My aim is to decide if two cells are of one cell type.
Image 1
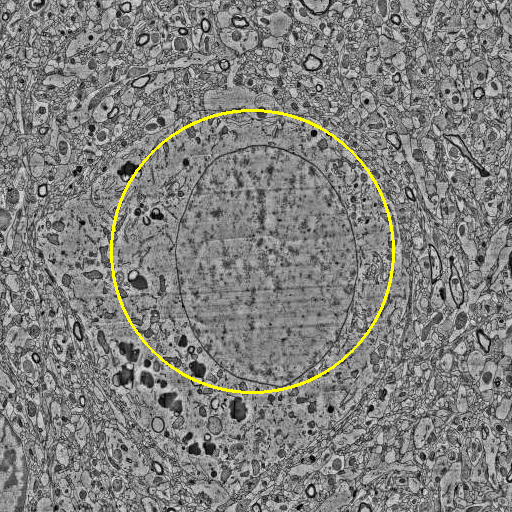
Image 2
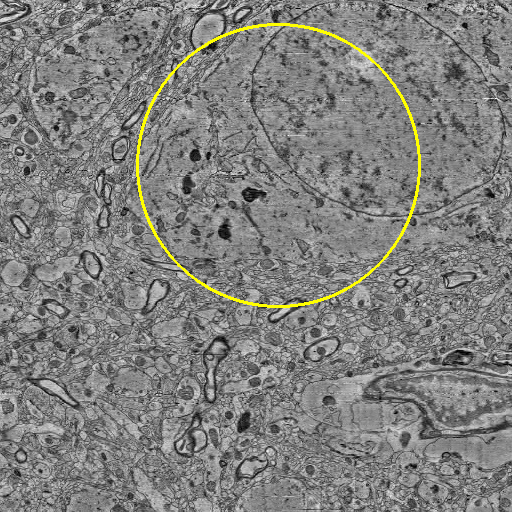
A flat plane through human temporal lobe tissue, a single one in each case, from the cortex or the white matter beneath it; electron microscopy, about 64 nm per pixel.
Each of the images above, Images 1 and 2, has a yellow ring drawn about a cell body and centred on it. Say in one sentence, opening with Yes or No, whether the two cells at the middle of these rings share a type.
Yes, in Images 1 and 2 the cells at the middle of the rings share one type.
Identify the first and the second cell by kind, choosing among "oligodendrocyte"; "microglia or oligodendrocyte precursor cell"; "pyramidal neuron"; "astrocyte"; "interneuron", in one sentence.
In each of the two pictures, the ringed cell is a pyramidal neuron.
